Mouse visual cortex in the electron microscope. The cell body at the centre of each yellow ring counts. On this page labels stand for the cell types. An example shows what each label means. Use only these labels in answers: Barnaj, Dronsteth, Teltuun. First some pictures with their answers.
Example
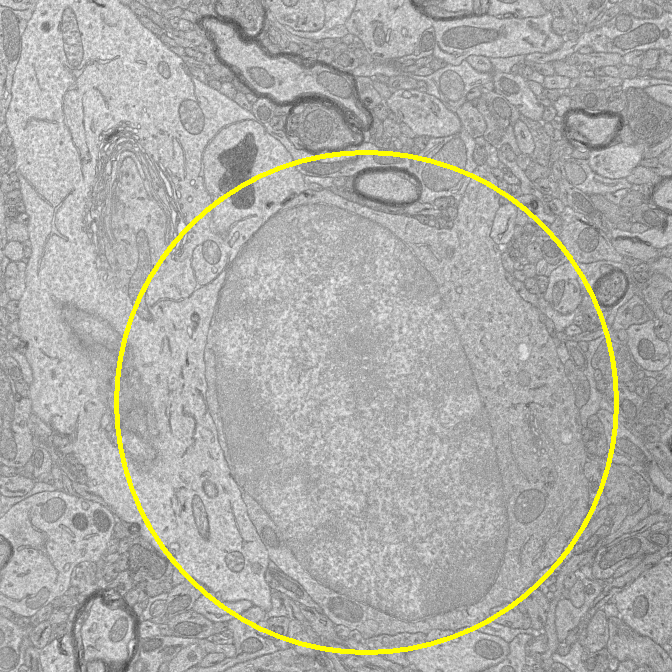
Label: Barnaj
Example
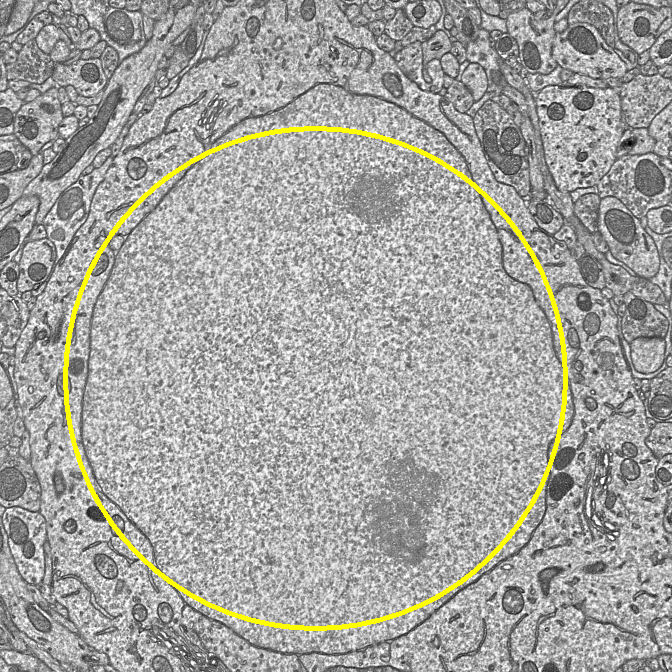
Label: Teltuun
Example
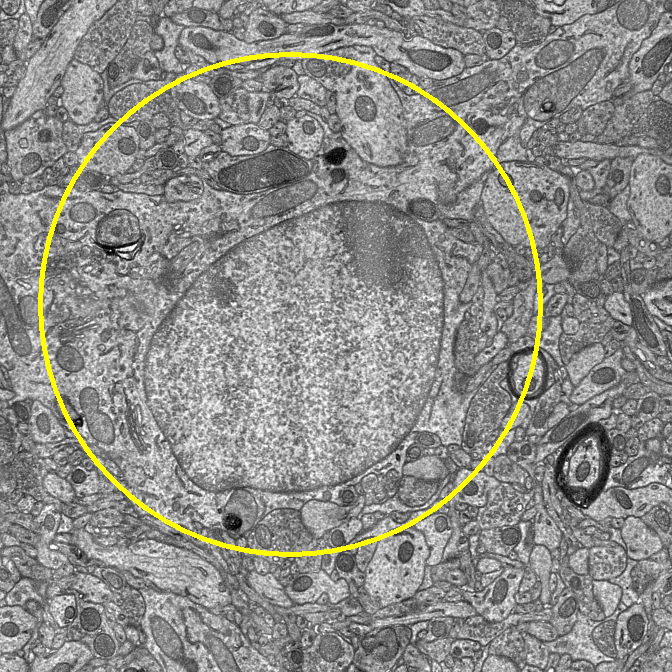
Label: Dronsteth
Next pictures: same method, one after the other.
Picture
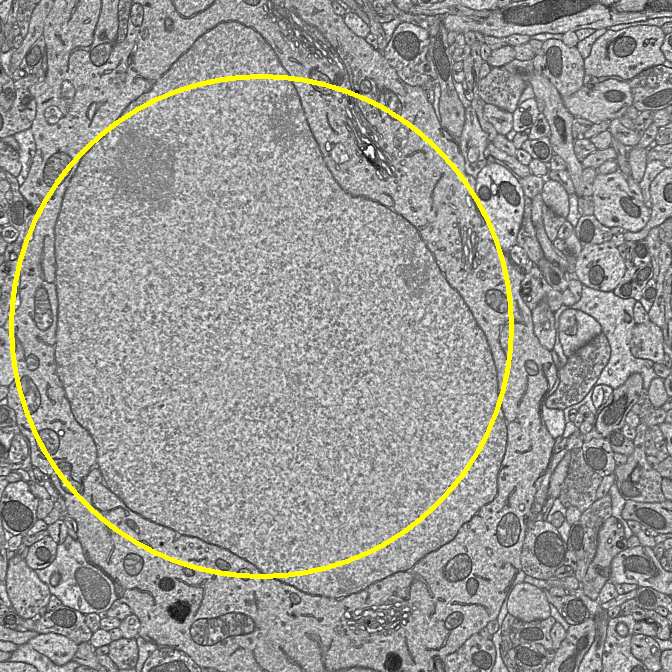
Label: Teltuun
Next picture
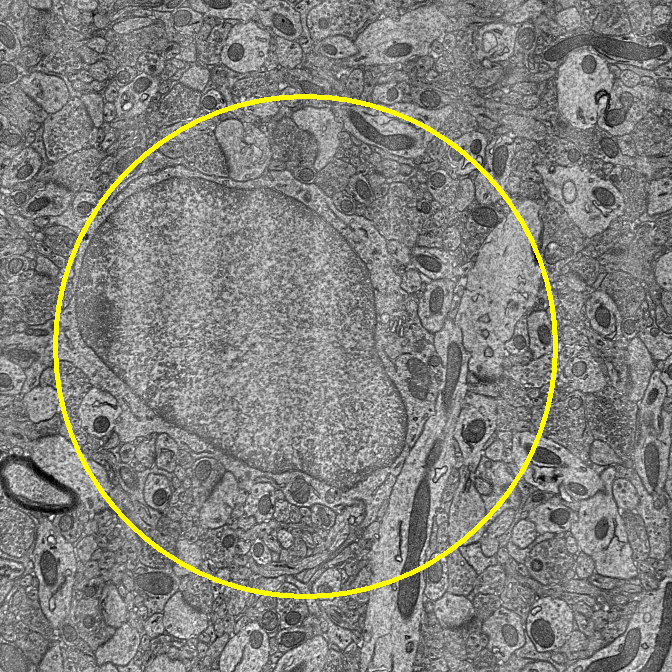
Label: Dronsteth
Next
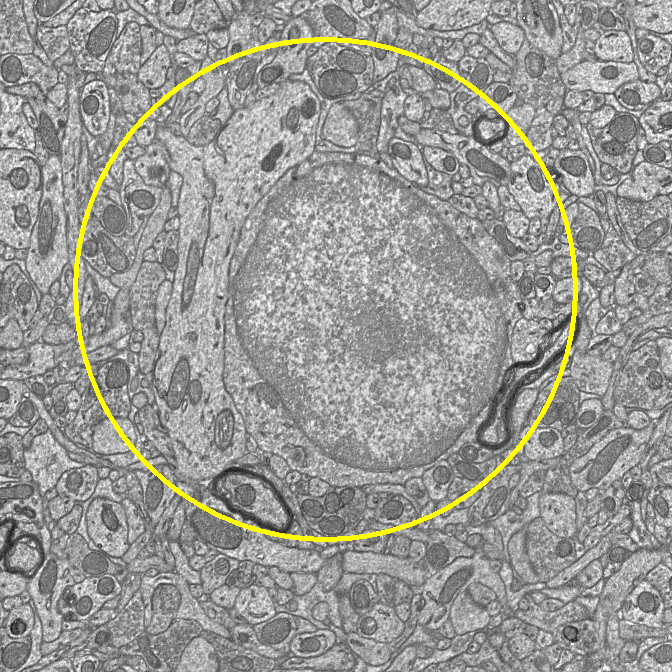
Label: Barnaj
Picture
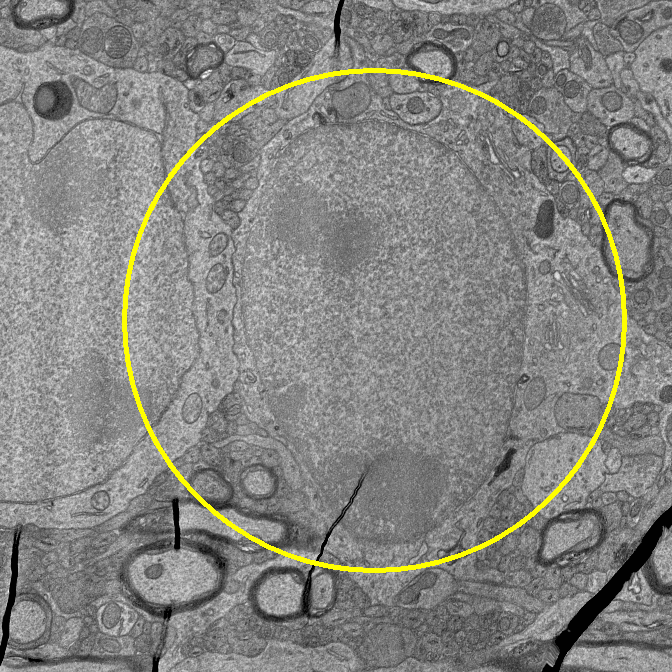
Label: Dronsteth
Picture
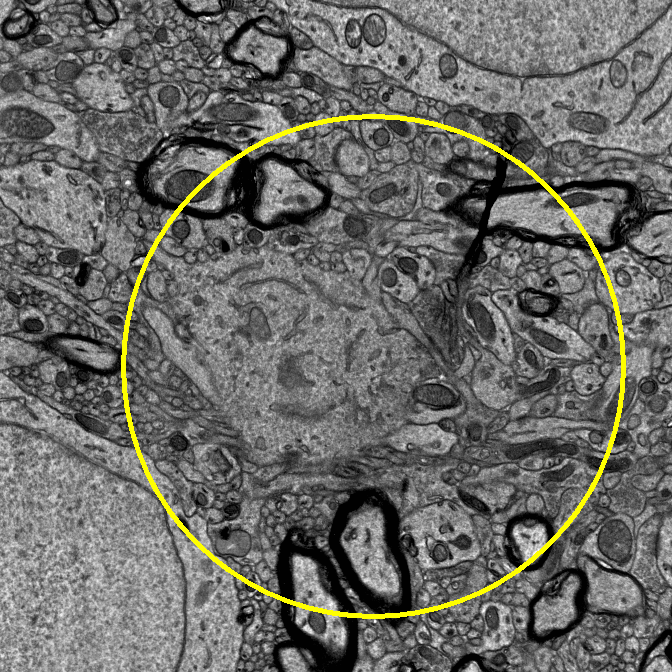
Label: Barnaj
